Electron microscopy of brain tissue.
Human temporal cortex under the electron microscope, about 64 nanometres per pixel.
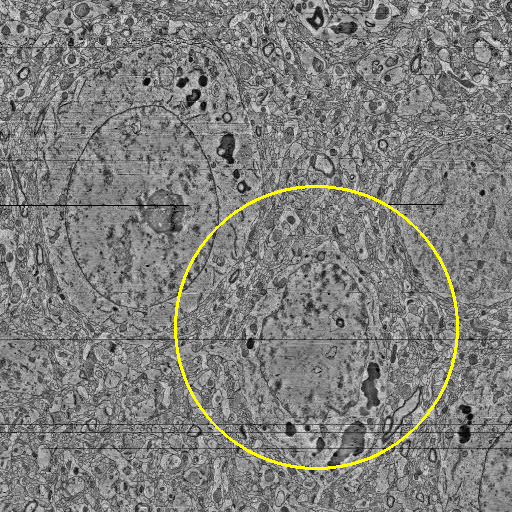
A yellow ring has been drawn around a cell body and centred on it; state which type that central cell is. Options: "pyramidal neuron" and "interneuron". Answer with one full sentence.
The cell at the middle of the yellow ring is an interneuron in this picture.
